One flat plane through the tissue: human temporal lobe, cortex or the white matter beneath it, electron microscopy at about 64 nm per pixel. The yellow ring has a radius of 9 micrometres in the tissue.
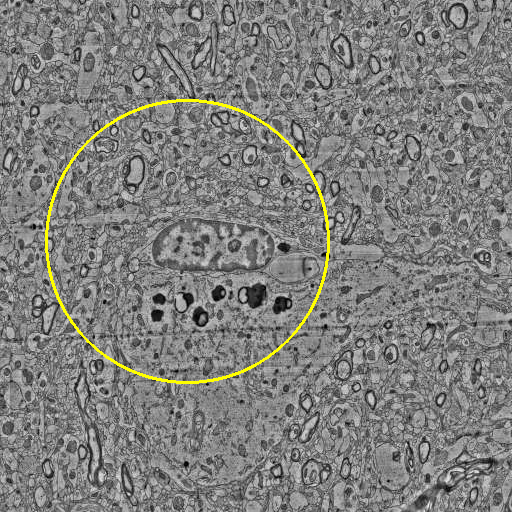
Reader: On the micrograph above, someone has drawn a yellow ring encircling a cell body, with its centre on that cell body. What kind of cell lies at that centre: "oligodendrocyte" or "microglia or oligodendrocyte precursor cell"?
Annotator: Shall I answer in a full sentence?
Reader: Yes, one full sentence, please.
Here a microglial cell or oligodendrocyte precursor cell sits at the centre of the yellow ring drawn on the micrograph.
